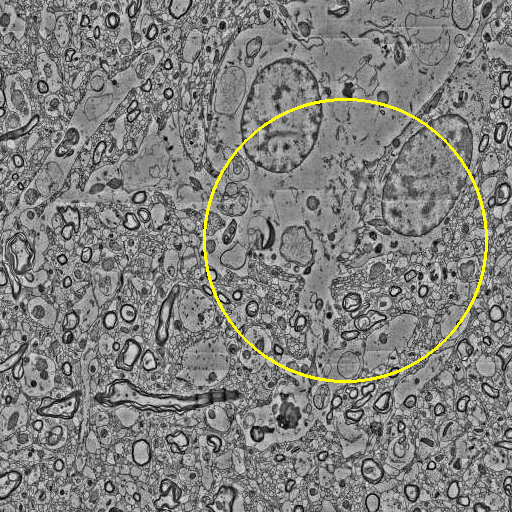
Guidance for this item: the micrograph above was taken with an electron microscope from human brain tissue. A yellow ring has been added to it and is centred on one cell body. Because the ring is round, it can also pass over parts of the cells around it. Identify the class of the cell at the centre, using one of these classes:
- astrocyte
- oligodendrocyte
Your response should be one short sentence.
The ring surrounds the body of an oligodendrocyte.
